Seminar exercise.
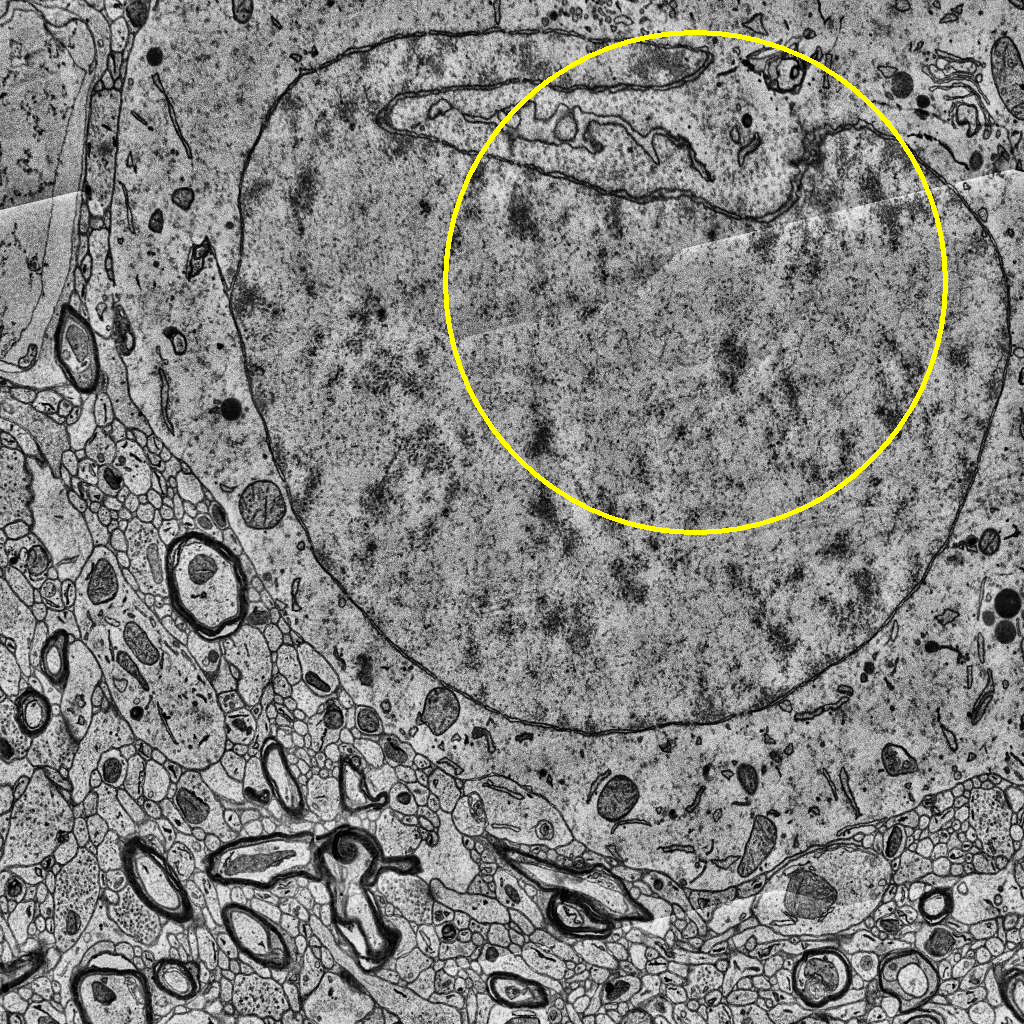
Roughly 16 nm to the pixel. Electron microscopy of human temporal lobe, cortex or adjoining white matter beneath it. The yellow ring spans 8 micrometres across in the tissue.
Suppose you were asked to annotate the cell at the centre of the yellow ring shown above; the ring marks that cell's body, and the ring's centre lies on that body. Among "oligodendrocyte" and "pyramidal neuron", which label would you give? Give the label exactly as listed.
pyramidal neuron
